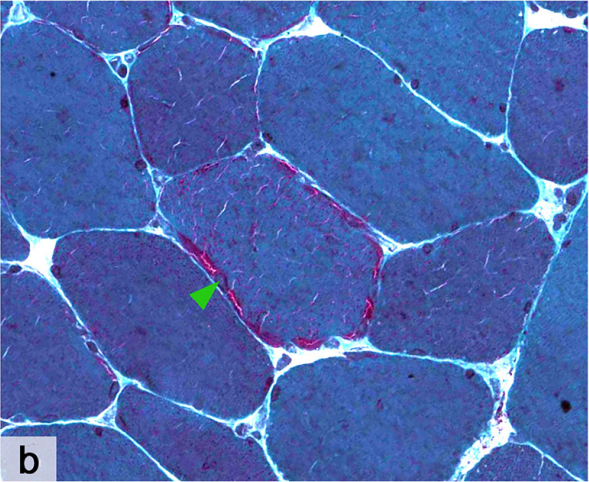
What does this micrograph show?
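Skeletal muscle fibres in cross-section, polygonal and stained blue-green, separated by pale connective tissue with a few small dark nuclei at the fibre edges. One fibre carries irregular red granular deposits along its border, standing out against its blue neighbours.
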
